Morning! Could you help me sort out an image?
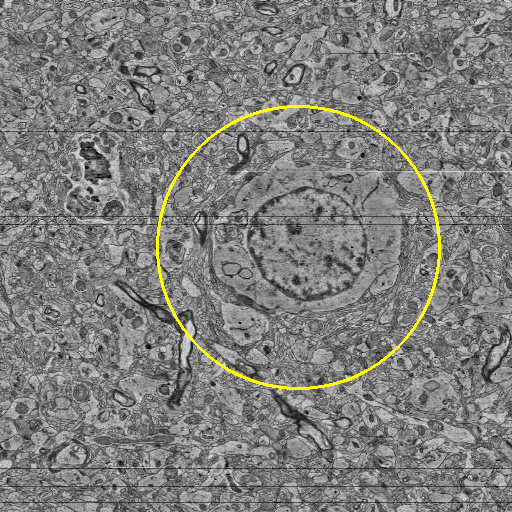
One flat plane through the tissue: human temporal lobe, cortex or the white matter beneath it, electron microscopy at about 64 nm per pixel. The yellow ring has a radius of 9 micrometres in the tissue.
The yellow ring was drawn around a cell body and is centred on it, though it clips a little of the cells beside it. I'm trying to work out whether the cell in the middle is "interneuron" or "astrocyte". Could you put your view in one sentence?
The ringed cell body is that of an astrocyte.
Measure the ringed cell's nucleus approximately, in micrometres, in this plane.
Roughly 7 micrometres across, measured in this plane.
